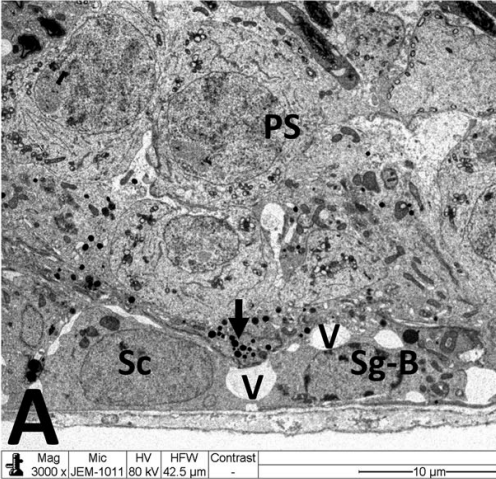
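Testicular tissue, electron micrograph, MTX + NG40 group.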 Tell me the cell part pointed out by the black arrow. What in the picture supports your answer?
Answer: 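Lysosomes. The arrow points to a cluster of small, round, very electron-dense bodies. The dense bodies lie in the cytoplasm of a cell resting on the basal lamina.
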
